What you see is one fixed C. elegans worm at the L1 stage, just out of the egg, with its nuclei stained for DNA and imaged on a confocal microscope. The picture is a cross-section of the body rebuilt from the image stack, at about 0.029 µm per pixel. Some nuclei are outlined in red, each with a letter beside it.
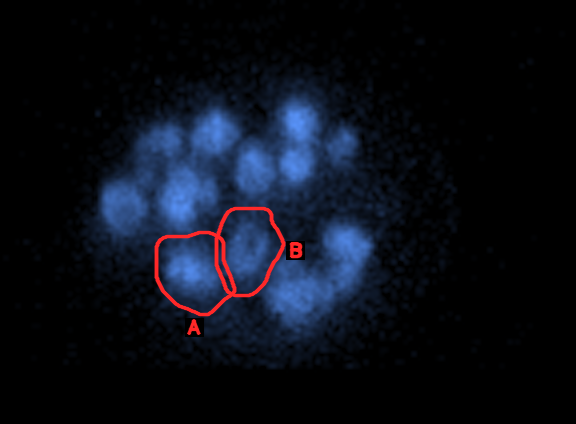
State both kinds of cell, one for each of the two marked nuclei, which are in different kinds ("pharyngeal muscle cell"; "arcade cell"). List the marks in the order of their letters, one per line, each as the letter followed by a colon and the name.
A: arcade cell
B: pharyngeal muscle cell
